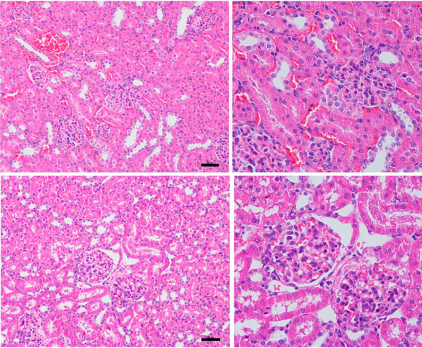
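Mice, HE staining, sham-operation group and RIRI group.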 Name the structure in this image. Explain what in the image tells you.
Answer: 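Round, densely cellular tufts with many purple nuclei lie among the tubules. The tufts sit within a clear space surrounded by a thin capsule. Pink-stained tubules with lumens surround the tufts.
Answer: glomerulus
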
